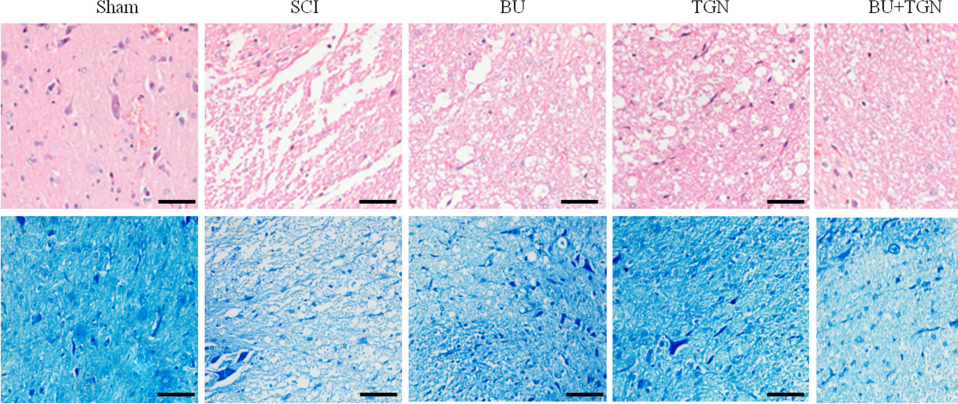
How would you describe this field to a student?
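Spinal cord tissue is shown in two rows of five square fields, stained pink with scattered purple nuclei in the upper row and blue in the lower row. In one upper field the tissue is dense and evenly pink, with several larger cell bodies with visible nuclei. In the other upper fields the tissue is loosened and pale. It is pierced by many small round clear holes, and in one field by elongated clear clefts that give a streaky, torn look. In the blue row some fields are densely and evenly stained with dark cell bodies and processes. Others are pale, with a fibrillar, broken-up texture and clear spaces.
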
